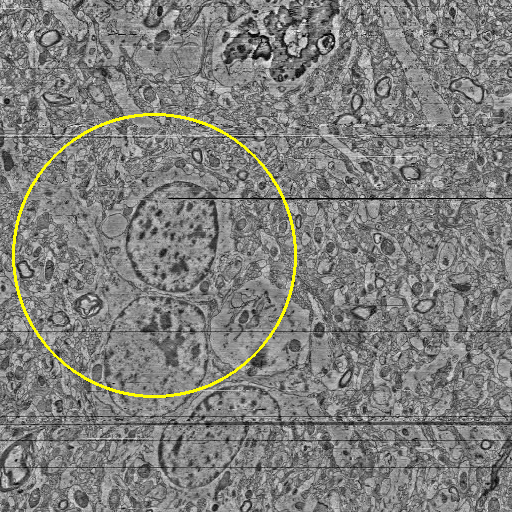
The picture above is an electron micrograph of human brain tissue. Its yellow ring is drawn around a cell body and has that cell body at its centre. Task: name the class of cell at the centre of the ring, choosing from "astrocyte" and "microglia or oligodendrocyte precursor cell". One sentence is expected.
The ring surrounds the body of an astrocyte.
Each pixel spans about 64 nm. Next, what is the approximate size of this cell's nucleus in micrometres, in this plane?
About 7 micrometres by about 6 micrometres in this plane.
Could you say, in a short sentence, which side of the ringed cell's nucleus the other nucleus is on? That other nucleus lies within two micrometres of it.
That other nucleus lies below it.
